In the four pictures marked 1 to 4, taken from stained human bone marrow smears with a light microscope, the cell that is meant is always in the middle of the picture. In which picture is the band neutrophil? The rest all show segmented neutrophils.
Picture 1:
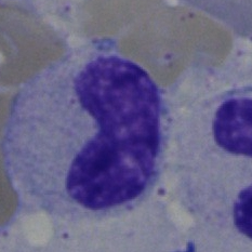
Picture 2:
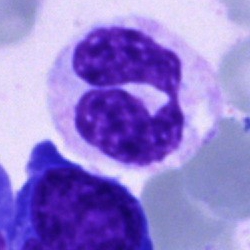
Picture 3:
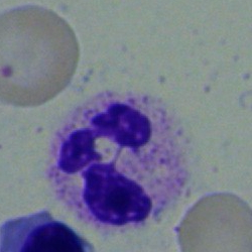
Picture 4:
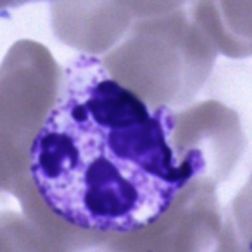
1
